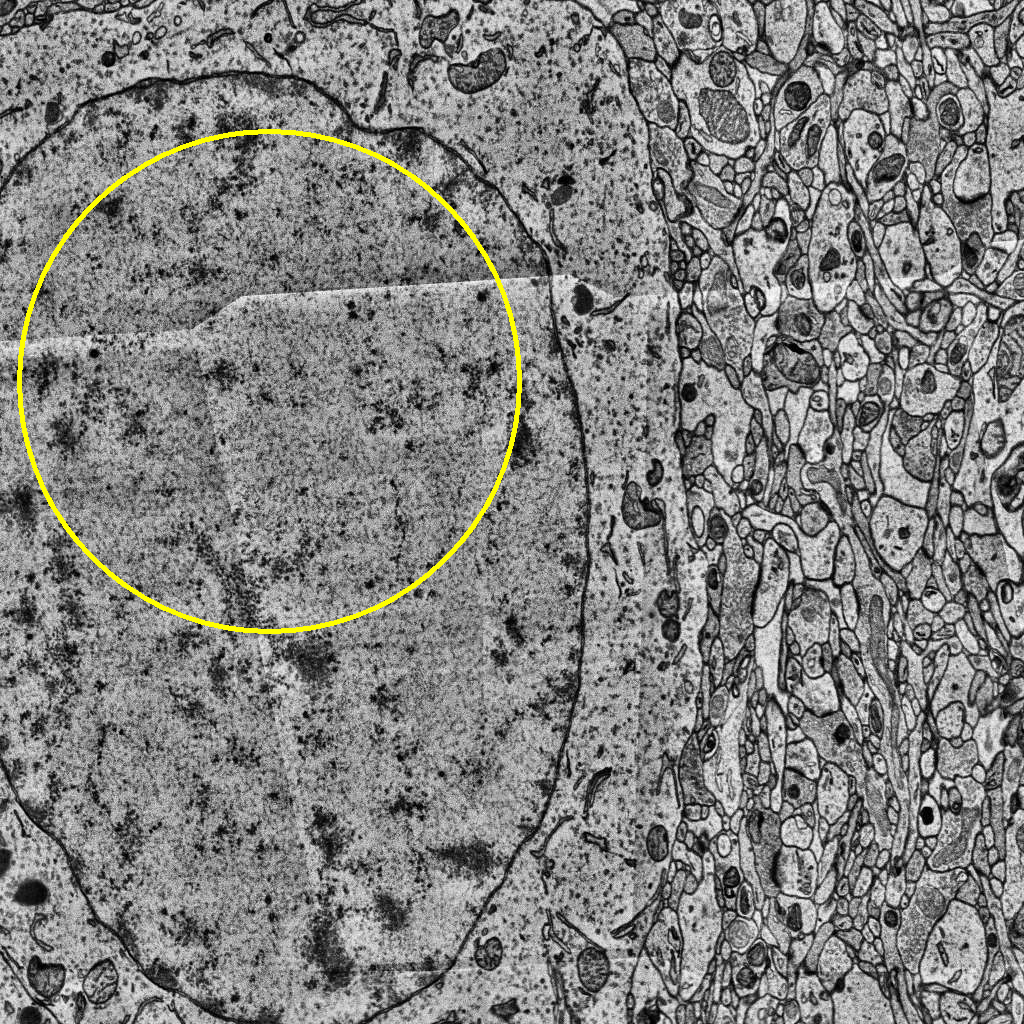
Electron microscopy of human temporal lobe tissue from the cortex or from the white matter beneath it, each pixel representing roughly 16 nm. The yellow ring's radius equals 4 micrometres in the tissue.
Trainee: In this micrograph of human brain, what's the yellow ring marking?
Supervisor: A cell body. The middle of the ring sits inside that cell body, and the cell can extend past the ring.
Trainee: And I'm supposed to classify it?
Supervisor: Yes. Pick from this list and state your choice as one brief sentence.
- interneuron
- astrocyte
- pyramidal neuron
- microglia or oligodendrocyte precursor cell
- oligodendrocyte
The cell at the ring's center is a pyramidal neuron.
